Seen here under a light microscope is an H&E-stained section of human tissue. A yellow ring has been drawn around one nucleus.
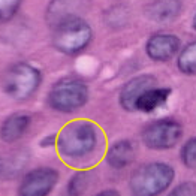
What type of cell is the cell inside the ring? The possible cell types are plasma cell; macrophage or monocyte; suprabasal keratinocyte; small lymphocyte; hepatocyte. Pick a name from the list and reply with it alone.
suprabasal keratinocyte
